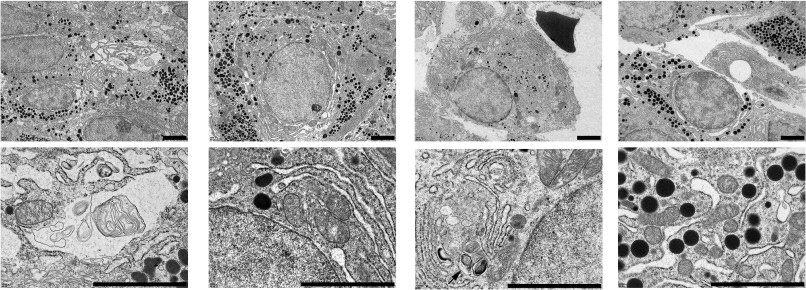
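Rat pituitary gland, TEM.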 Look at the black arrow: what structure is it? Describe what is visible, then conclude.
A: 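The arrow points to a small membrane-bounded vacuole with dense enclosed contents in the cytoplasm. The vacuole is distinct from the uniform round dense granules nearby.
Conclusion: autophagosomes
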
